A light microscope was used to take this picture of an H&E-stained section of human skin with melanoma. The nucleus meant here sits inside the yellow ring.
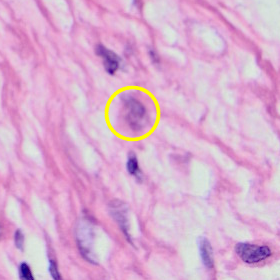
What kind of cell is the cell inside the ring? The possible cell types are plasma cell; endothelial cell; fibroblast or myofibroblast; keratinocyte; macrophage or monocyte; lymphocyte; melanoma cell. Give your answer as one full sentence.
The cell meant here is a fibroblast or myofibroblast.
